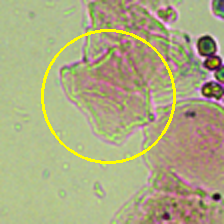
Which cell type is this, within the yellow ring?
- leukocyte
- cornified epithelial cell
Within the ring is a cornified epithelial cell.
